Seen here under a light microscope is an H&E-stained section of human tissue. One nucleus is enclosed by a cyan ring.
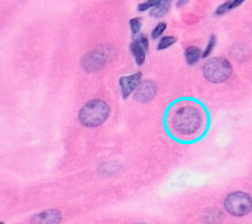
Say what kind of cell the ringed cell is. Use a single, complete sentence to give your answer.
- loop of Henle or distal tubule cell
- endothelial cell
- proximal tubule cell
Right, so the ringed cell is a proximal tubule cell, to answer that.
